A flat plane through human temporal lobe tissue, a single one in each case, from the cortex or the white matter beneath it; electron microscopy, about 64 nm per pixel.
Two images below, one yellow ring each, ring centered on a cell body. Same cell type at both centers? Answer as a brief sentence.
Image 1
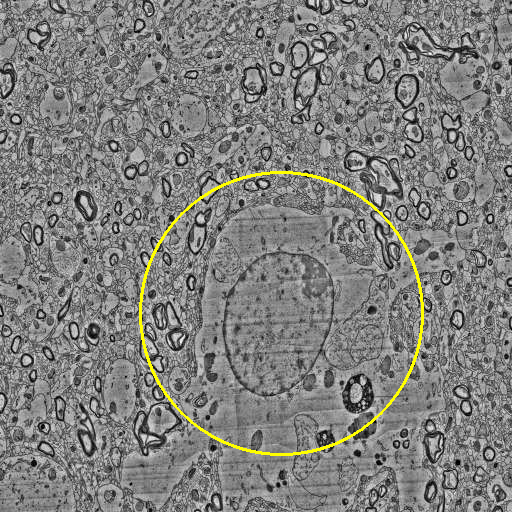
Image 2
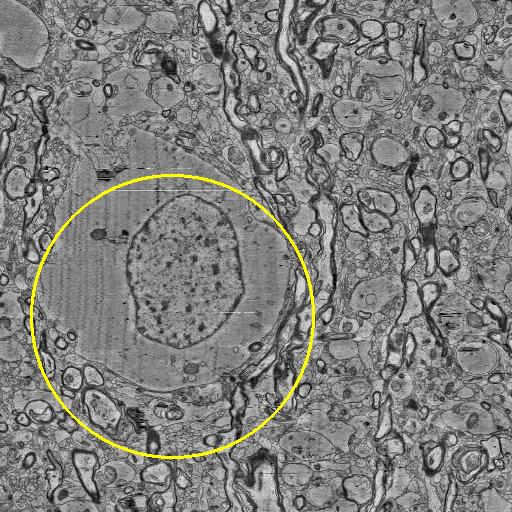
Yes, both cells are of the same type.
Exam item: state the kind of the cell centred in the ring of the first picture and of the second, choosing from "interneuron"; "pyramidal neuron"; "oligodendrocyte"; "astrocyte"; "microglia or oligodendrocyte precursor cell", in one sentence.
Each cell, in the first picture and the second, is an astrocyte.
